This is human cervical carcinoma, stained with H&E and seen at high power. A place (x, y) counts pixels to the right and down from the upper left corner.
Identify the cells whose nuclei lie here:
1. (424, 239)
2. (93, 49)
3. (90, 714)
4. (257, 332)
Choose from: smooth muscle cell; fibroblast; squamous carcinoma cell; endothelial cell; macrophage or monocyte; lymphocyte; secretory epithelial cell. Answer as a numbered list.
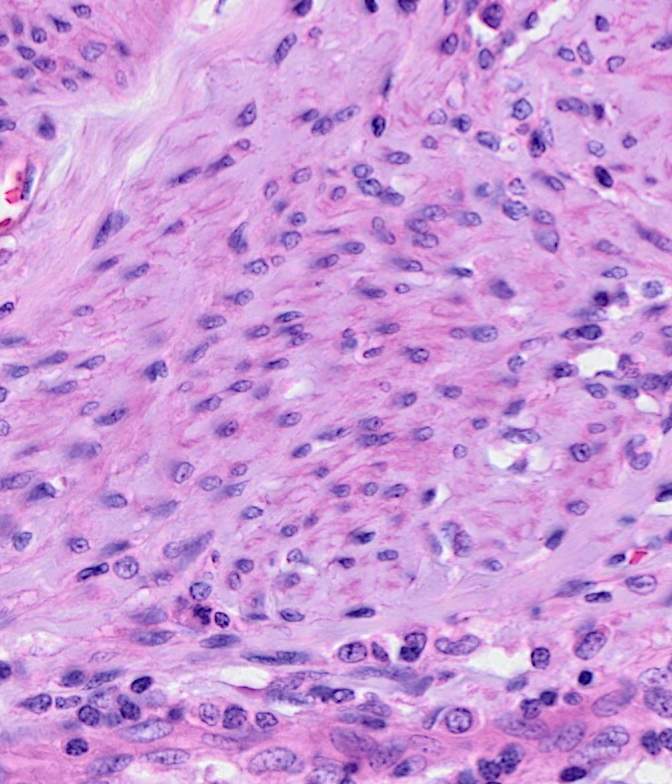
1. smooth muscle cell
2. smooth muscle cell
3. lymphocyte
4. smooth muscle cell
